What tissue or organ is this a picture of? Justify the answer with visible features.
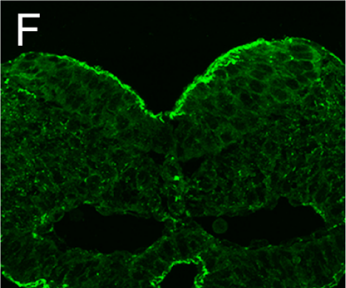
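Two thick folds of tightly packed epithelial cells meet at the dorsal midline. Cell outlines in green show a columnar multilayered epithelium. So: neuroepithelia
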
